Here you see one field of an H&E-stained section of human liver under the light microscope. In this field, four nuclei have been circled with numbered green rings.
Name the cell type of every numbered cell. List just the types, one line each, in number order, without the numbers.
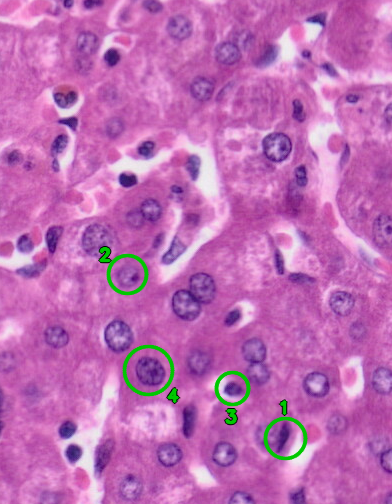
fibroblast or stellate cell
hepatocyte
lymphocyte
hepatocyte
